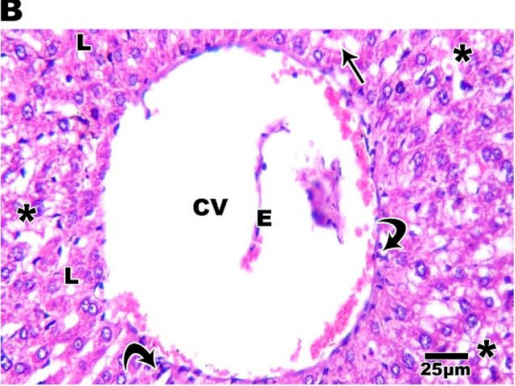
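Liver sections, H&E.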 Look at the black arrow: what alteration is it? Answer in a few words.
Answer: dilated blood sinusoids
